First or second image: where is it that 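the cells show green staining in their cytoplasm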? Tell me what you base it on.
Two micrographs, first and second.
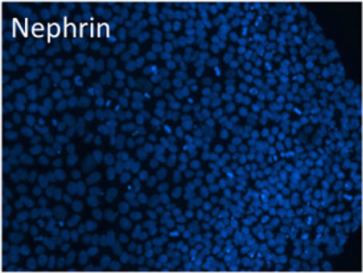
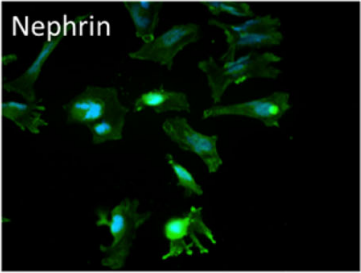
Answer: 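The second image. First image: densely packed cells show only blue nuclei, with no green. Second image: scattered spread cells have bright green cell bodies around blue nuclei.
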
